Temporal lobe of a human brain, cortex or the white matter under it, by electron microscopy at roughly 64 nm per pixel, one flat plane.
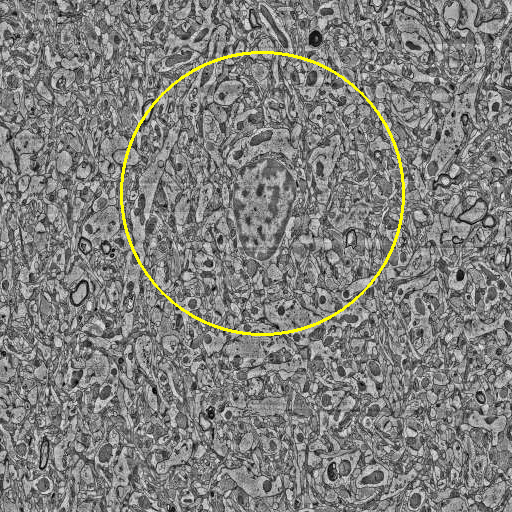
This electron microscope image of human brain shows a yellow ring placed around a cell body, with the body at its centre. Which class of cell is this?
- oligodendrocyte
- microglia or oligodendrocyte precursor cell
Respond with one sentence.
The cell body at the ring's centre is a microglial cell or oligodendrocyte precursor cell.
